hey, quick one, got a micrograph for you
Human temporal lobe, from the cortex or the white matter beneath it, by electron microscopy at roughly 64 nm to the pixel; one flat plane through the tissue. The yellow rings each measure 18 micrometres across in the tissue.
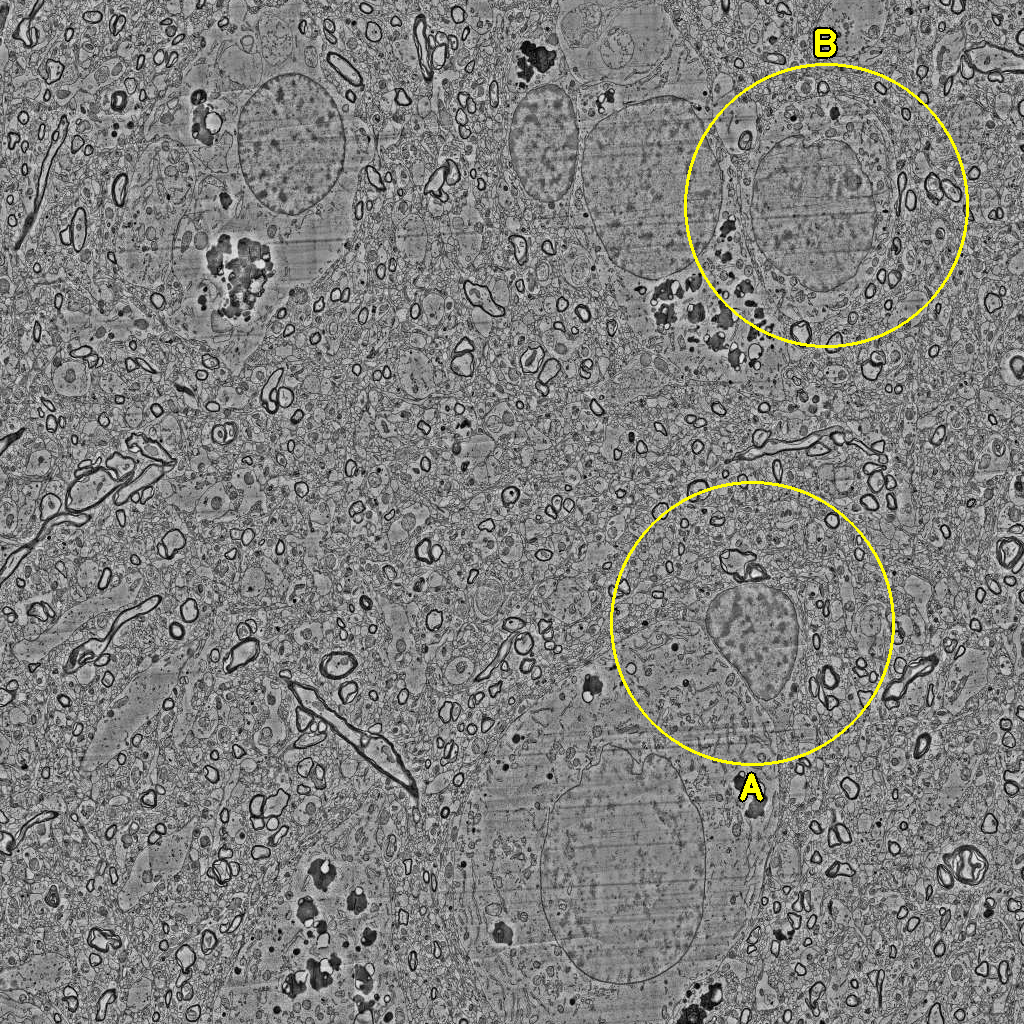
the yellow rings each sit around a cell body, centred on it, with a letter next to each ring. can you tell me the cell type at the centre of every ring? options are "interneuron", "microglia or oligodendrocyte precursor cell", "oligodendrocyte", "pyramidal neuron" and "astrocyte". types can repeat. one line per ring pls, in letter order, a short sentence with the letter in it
Ring A goes around an oligodendrocyte.
Ring B goes around an interneuron.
